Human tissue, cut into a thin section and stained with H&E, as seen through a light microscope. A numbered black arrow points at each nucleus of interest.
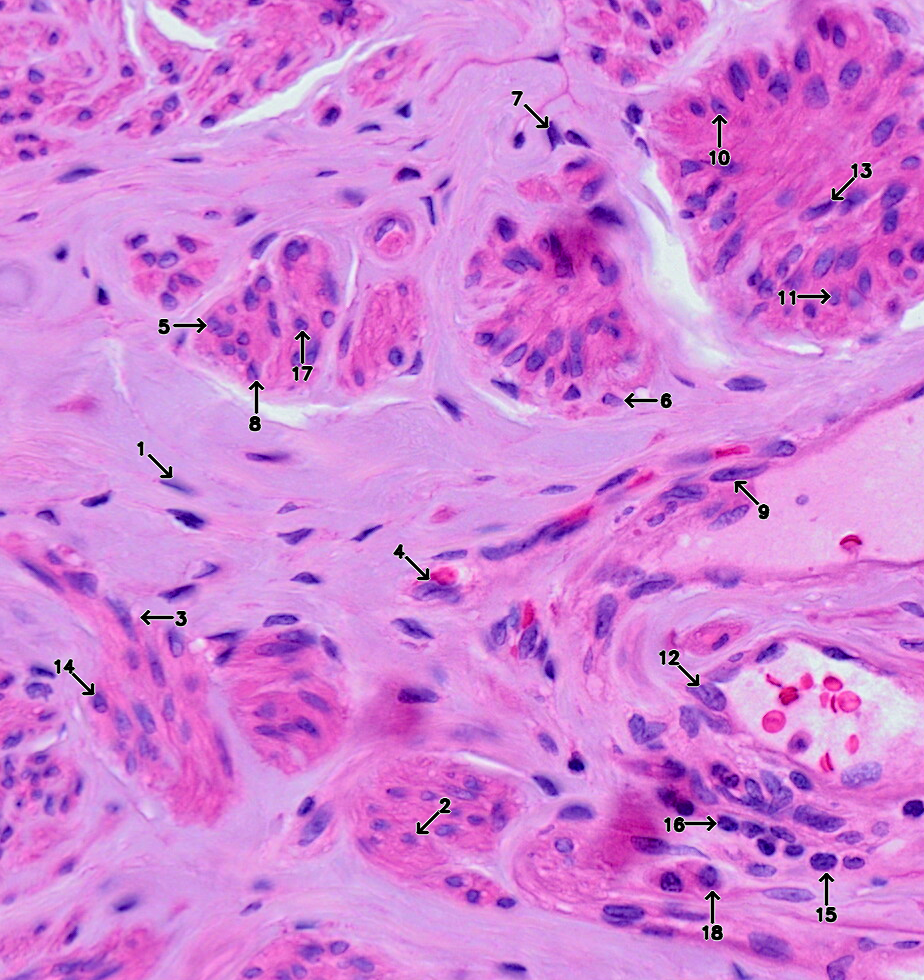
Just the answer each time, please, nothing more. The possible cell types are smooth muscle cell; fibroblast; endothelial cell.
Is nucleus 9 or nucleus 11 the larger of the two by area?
9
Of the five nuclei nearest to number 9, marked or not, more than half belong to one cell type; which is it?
endothelial cell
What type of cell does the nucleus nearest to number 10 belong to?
smooth muscle cell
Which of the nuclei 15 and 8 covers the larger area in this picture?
15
